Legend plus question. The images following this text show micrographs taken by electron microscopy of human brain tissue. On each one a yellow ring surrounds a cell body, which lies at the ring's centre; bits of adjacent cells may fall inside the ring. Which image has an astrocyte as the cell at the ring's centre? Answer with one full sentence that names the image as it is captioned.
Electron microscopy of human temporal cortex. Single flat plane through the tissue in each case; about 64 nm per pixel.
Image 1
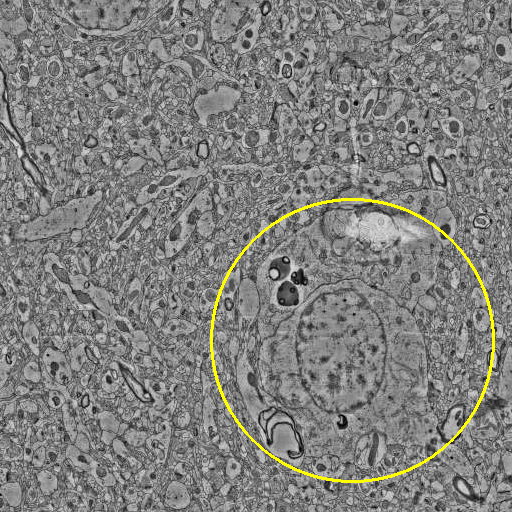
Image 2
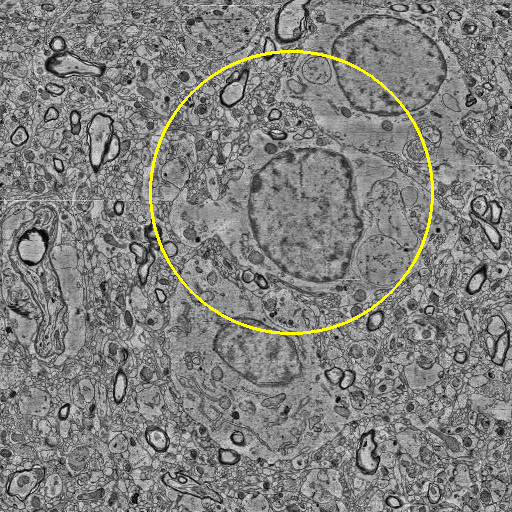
The centred cell that was asked for is the one in Image 2.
